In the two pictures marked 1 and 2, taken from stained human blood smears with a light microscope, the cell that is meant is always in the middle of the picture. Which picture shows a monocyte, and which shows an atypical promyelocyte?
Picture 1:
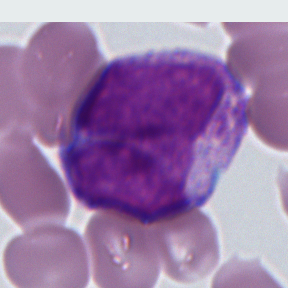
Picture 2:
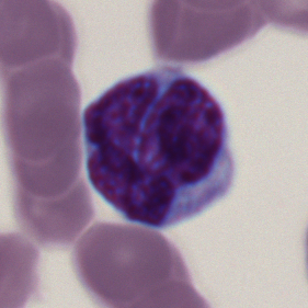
1: atypical promyelocyte
2: monocyte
